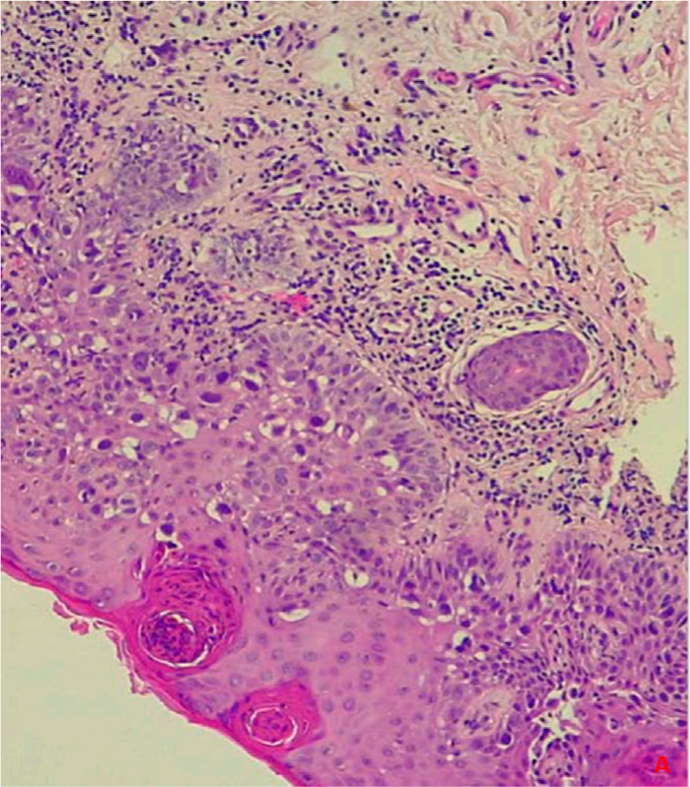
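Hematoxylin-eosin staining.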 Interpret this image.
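Stratified squamous epithelium is infiltrated by large, atypical polygonal cells with abundant pale, vacuolated cytoplasm and enlarged dark nuclei, resembling Paget’s cells. These cells lie singly and in small groups among the pink keratinocytes. Beneath the epithelium the stroma holds a dense infiltrate of small dark inflammatory cells, and pink whorls of keratin lie near the surface.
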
